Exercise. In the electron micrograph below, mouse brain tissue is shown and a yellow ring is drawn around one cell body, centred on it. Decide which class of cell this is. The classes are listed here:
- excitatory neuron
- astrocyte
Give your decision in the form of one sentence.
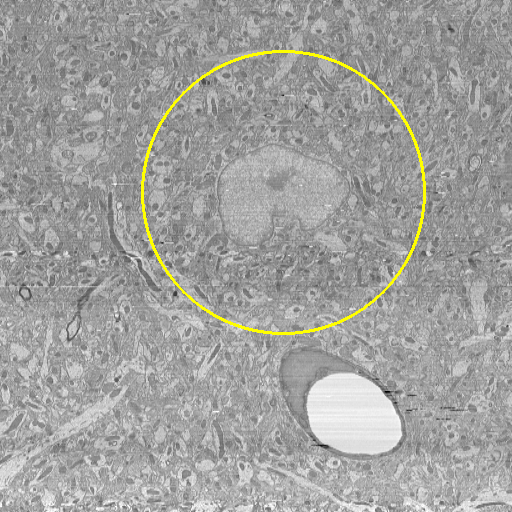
The cell body marked by the ring belongs to an astrocyte.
